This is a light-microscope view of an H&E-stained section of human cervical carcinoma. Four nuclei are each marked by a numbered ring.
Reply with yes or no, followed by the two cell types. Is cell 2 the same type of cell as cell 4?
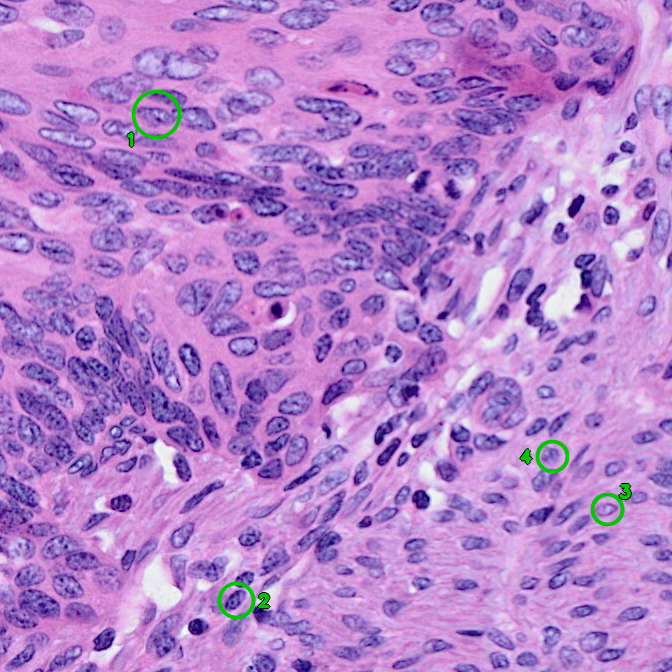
No, as to type, cell 2 is a lymphocyte, and cell 4 is a smooth muscle cell.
